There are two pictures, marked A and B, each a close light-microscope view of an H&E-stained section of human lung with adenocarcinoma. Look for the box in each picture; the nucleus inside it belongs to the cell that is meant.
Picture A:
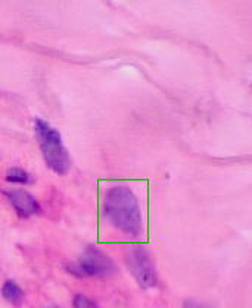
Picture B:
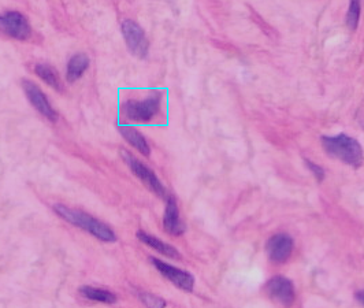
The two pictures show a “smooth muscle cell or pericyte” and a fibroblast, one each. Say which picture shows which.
A: fibroblast
B: smooth muscle cell or pericyte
